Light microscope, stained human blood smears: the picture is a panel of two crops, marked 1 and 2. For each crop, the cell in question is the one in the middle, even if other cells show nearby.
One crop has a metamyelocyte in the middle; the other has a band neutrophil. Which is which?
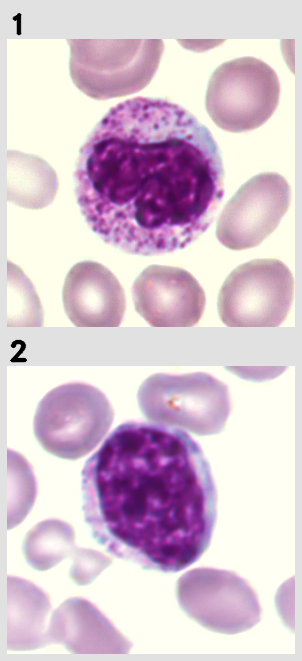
1: band neutrophil
2: metamyelocyte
